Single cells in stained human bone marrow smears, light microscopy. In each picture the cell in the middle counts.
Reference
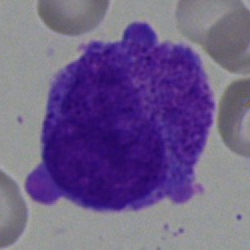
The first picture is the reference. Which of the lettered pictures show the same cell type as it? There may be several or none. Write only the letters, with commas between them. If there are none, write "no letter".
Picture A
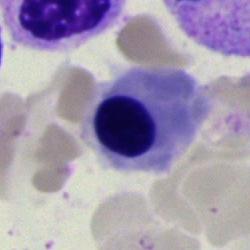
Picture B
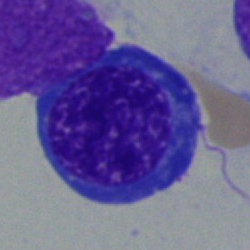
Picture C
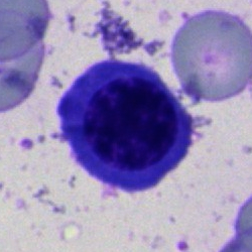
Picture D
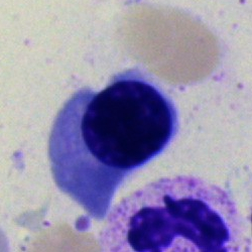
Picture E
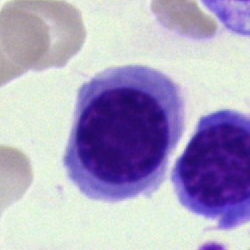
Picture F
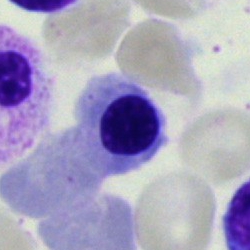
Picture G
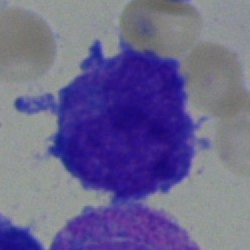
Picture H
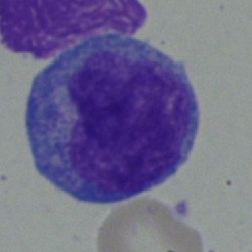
G, H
